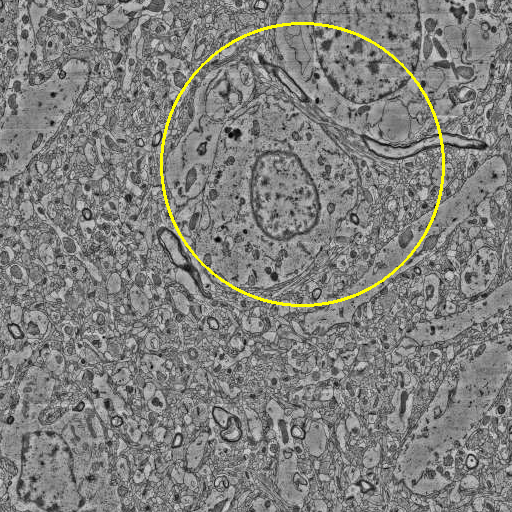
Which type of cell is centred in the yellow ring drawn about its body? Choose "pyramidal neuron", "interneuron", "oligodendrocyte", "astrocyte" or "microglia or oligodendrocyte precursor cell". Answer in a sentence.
The yellow ring surrounds the cell body of a pyramidal neuron.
